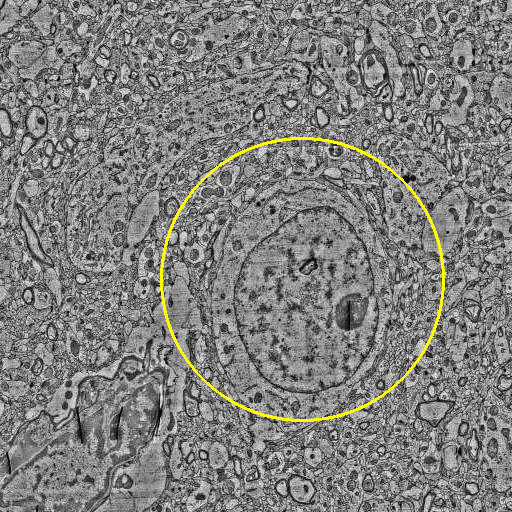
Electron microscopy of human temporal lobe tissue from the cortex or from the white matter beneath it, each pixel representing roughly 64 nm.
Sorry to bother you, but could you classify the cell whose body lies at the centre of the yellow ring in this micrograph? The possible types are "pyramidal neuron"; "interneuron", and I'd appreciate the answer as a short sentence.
The ringed cell body is that of a pyramidal neuron.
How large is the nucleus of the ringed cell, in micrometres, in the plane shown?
The ringed cell's nucleus measures approximately 12 by 9 micrometres in this plane.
